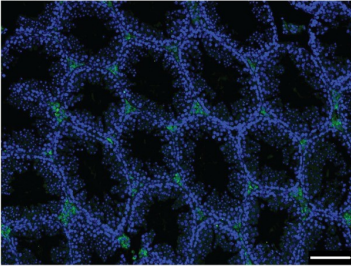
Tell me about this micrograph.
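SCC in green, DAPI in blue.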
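Cross-section of testis showing closely packed round seminiferous tubules with interstitial Leydig cells between them. Each tubule is lined by a thick, multilayered epithelium of blue-stained nuclei that thins toward a dark central lumen. The tubules abut one another closely, leaving small triangular interstitial spaces at their junctions. Within these spaces lie small clusters of cells with green cytoplasmic fluorescence, irregular in shape and sometimes extending slightly along the tubule borders. Green fluorescence is absent from the tubule epithelium itself, so the green cells mark the interstitial compartment.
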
